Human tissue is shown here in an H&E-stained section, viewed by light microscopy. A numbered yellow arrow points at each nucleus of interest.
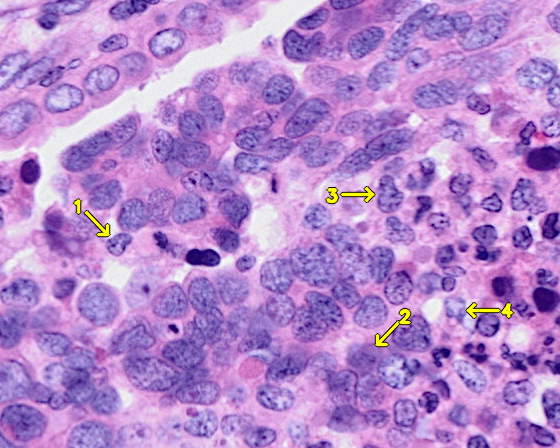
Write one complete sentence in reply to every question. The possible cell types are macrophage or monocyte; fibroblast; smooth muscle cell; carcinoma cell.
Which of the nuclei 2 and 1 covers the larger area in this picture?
Nucleus 2 is the larger one, covering about 1.5 times the area of nucleus 1.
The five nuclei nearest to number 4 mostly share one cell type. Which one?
Of the five nuclei nearest to number 4, most belong to macrophages or monocytes.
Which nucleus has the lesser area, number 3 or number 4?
Nucleus 4 covers less area, with nucleus 3 about 1.5 times as large.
